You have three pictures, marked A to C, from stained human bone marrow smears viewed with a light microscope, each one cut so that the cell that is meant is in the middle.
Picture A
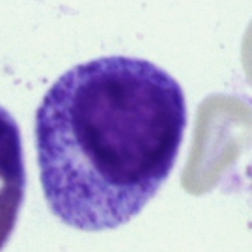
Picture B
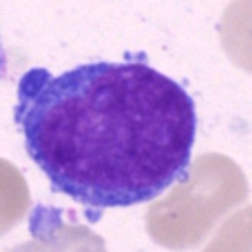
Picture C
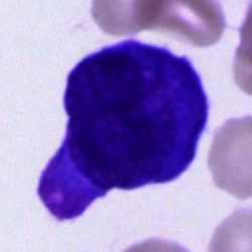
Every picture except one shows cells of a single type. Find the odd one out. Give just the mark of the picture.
A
